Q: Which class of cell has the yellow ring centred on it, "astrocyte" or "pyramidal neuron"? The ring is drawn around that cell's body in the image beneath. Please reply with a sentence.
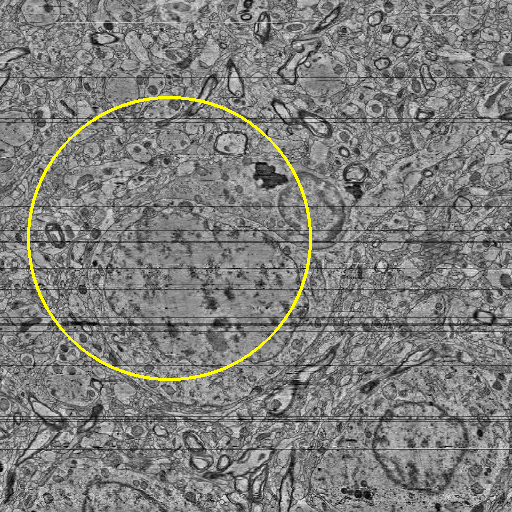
It is centred on a pyramidal neuron.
